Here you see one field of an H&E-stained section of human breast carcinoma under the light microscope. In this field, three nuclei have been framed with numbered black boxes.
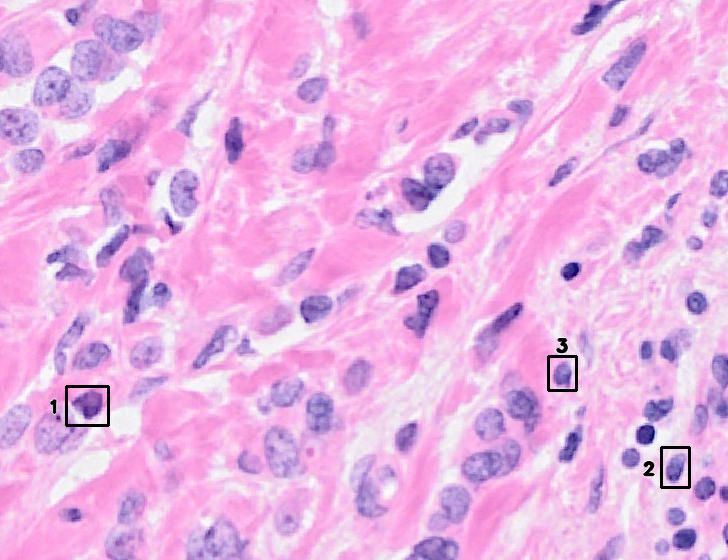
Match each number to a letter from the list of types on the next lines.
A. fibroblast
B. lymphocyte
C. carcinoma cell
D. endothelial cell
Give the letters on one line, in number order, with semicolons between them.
C; B; B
